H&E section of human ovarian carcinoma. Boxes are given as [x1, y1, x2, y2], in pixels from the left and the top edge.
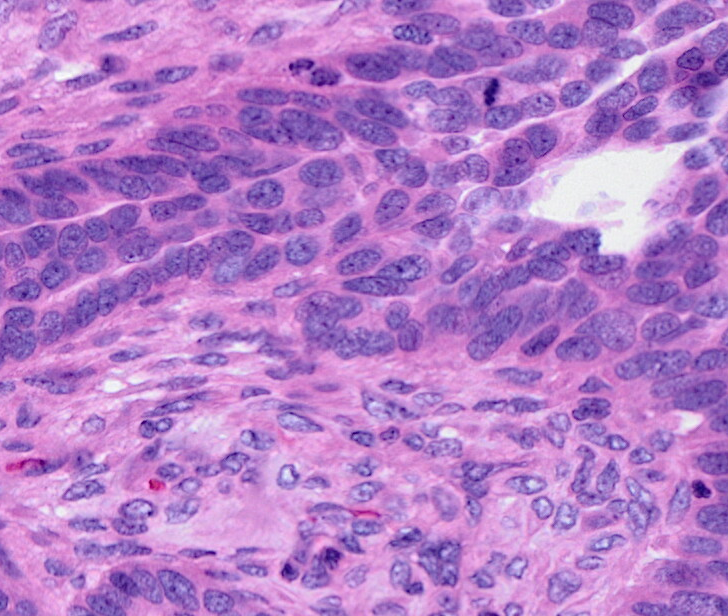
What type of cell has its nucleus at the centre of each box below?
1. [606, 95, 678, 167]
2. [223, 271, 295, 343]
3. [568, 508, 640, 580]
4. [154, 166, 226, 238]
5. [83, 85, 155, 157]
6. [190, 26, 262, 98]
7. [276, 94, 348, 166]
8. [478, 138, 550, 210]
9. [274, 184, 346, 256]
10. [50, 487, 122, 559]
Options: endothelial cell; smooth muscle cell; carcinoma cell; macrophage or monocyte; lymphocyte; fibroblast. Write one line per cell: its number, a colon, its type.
1: carcinoma cell
2: fibroblast
3: fibroblast
4: carcinoma cell
5: fibroblast
6: fibroblast
7: carcinoma cell
8: carcinoma cell
9: carcinoma cell
10: fibroblast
